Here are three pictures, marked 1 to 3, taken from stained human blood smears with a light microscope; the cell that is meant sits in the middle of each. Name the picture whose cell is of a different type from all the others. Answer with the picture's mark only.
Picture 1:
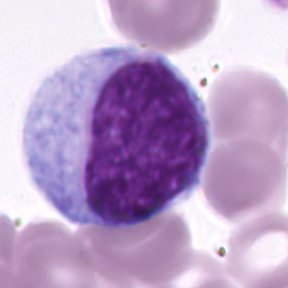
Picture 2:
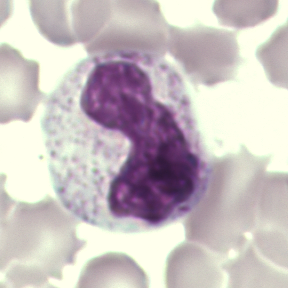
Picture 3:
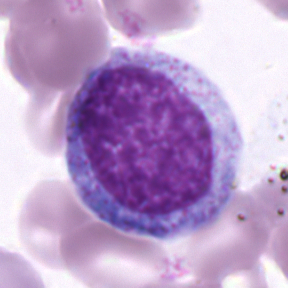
2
